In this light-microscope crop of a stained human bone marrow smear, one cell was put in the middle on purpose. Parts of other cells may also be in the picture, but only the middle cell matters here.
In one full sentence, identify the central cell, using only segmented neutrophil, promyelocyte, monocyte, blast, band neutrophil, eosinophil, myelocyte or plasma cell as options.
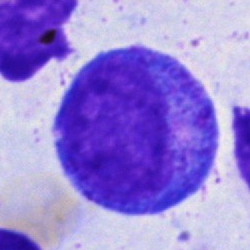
The cell in the exact centre of the crop is a promyelocyte.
